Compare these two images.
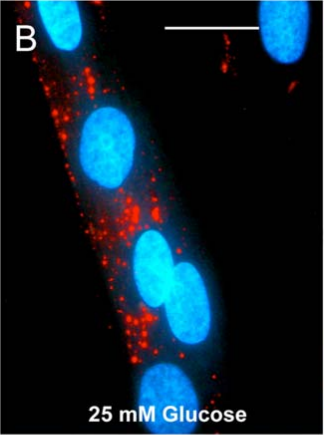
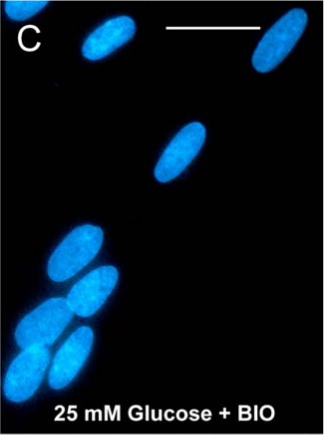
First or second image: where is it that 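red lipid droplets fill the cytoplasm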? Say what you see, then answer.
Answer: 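Second image: blue nuclei with no red dots around them. First image: many red dots packed around and between the nuclei of a long cell. On this evidence: the first image.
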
